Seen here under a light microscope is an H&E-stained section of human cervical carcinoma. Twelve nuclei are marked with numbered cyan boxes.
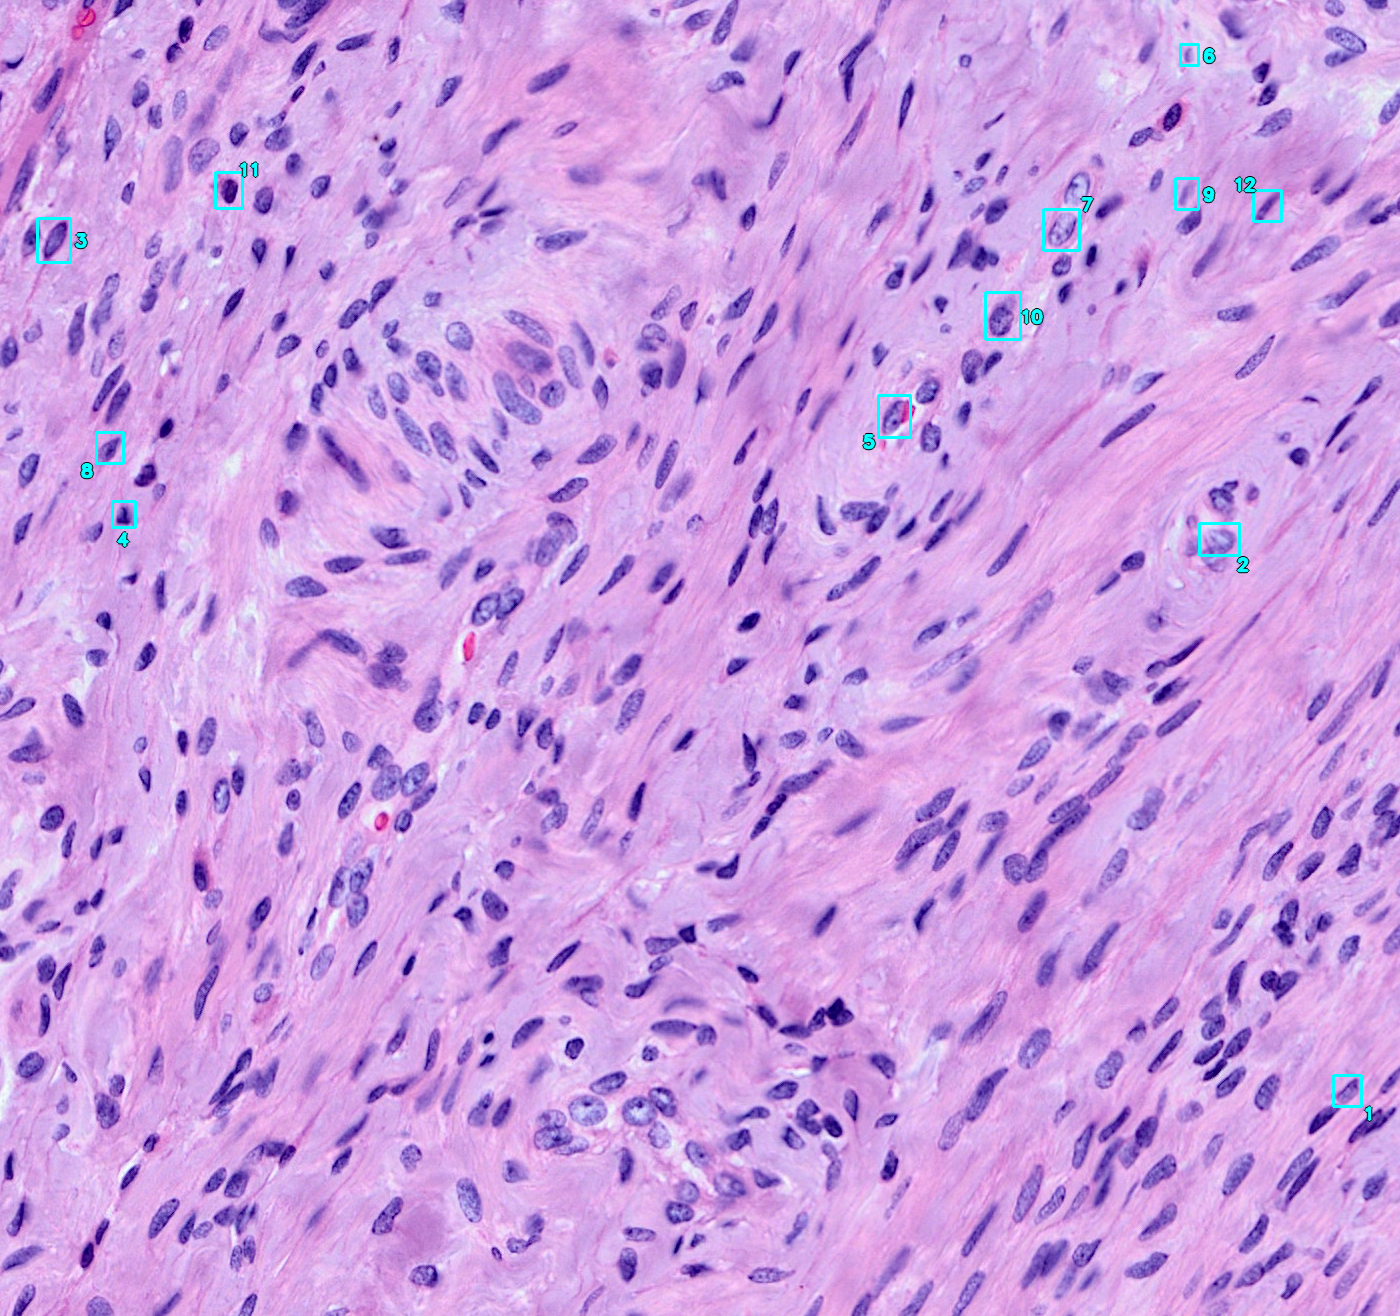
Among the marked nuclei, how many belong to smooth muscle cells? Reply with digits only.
2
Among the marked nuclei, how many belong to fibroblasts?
5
